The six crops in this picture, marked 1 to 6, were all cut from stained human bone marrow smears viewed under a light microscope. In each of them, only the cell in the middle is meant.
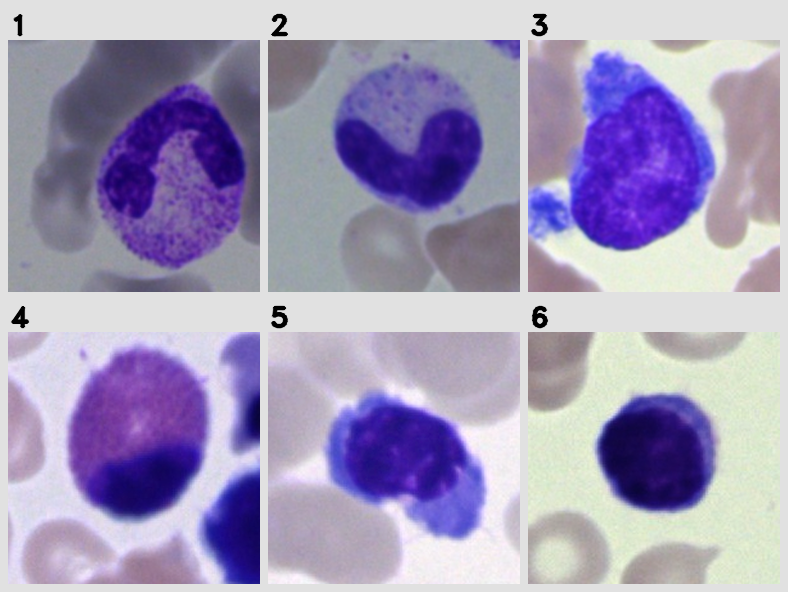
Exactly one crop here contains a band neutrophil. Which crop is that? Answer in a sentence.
Crop 2, and no other, is the one that shows a band neutrophil.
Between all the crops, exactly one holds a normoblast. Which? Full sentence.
Crop 5 is the one in this set that shows a normoblast.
